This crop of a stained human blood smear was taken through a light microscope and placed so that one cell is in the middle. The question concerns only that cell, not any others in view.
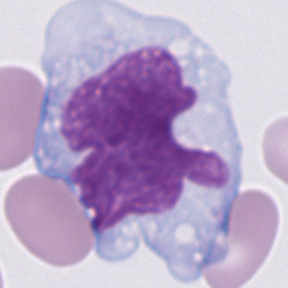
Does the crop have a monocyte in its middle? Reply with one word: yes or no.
yes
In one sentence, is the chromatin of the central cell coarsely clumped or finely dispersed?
Coarse clumps are absent, and the chromatin is fine throughout.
